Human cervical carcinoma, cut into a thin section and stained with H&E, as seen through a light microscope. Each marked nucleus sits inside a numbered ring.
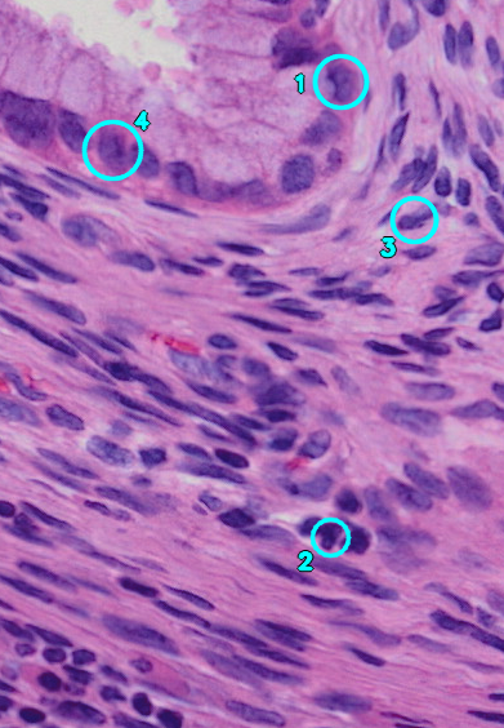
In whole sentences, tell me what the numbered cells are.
Cells 1 and 4 are secretory epithelial cells. Cell 2 is a lymphocyte. Cell 3 is a fibroblast.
